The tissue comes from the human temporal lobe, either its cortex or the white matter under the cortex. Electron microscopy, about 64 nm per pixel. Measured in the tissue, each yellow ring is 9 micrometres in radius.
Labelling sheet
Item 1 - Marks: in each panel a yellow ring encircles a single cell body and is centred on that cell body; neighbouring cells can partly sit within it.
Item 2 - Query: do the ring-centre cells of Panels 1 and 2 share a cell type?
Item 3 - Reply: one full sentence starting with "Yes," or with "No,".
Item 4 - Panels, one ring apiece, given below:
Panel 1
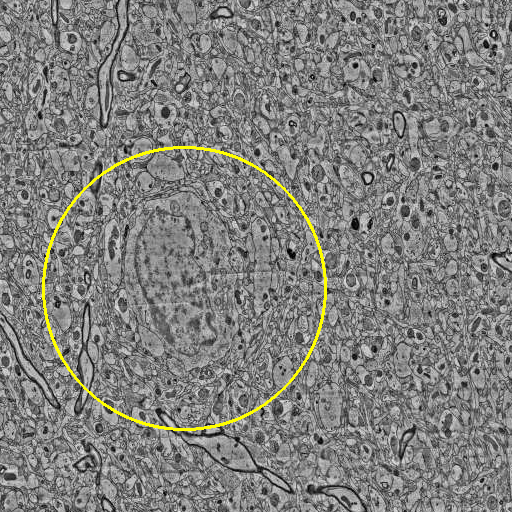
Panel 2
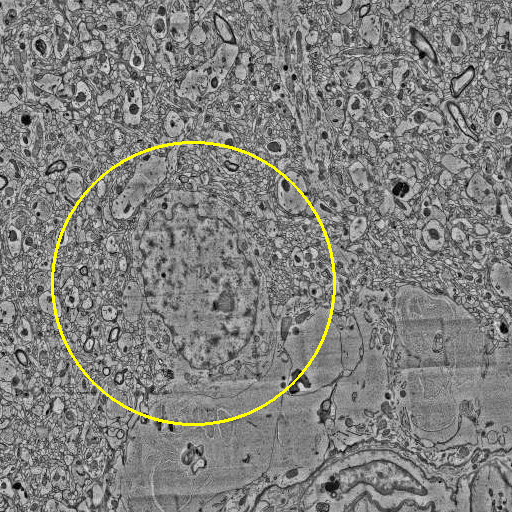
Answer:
Yes, Panel 1 and Panel 2 show one cell type at the centres of their rings.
